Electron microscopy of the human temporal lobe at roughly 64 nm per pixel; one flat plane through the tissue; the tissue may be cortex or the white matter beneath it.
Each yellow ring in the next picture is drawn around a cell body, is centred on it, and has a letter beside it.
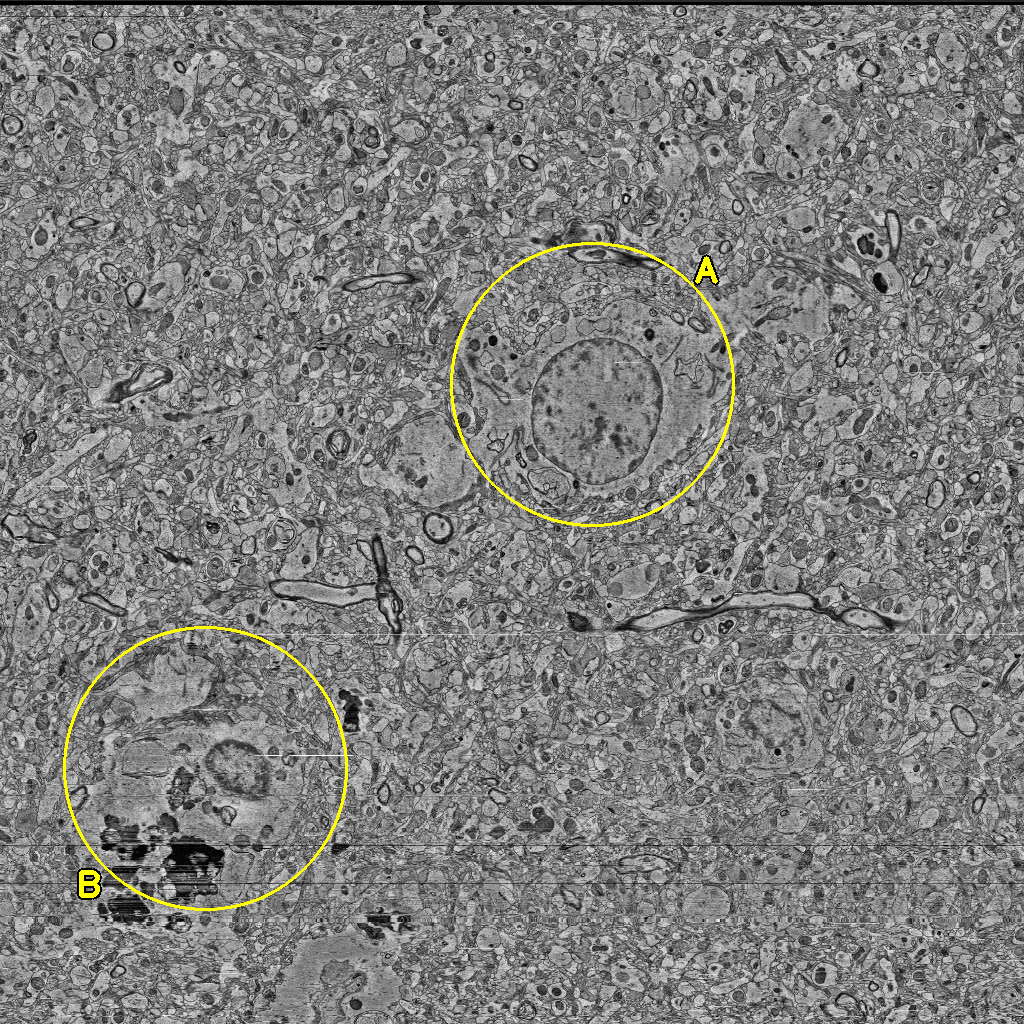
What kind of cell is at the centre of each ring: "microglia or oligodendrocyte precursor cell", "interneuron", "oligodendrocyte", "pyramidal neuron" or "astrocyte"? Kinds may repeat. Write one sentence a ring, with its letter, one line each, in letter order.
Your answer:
The centre of ring A falls on an astrocyte.
The centre of ring B falls on an astrocyte.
